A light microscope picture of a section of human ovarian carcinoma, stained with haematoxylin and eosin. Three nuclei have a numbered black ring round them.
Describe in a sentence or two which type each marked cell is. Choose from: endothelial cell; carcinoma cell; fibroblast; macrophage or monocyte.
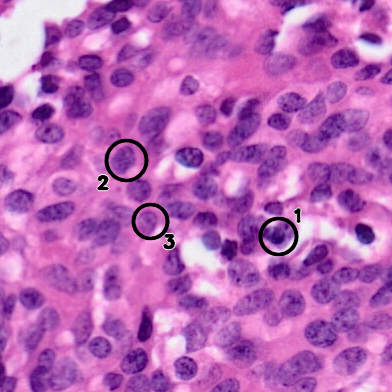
Cell 1 is a macrophage or monocyte, cell 2 is a carcinoma cell and cell 3 is a carcinoma cell.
